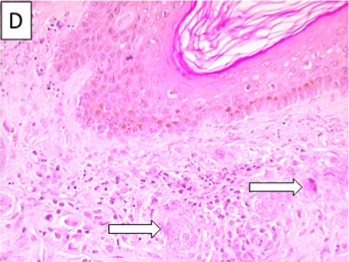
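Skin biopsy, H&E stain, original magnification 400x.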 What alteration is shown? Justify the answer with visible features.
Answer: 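Inflammatory infiltration. Many small cells with dark nuclei crowd the dermis beneath the epidermis.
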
